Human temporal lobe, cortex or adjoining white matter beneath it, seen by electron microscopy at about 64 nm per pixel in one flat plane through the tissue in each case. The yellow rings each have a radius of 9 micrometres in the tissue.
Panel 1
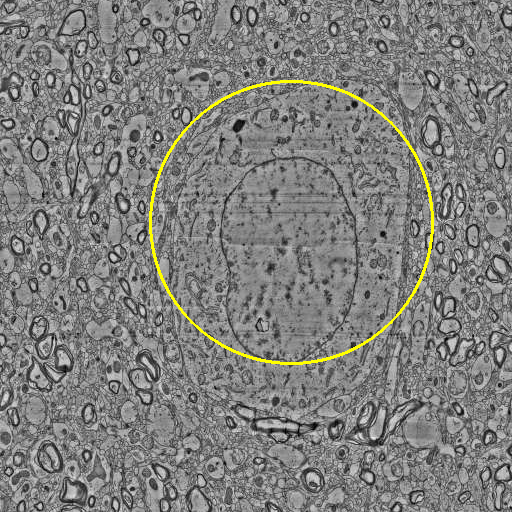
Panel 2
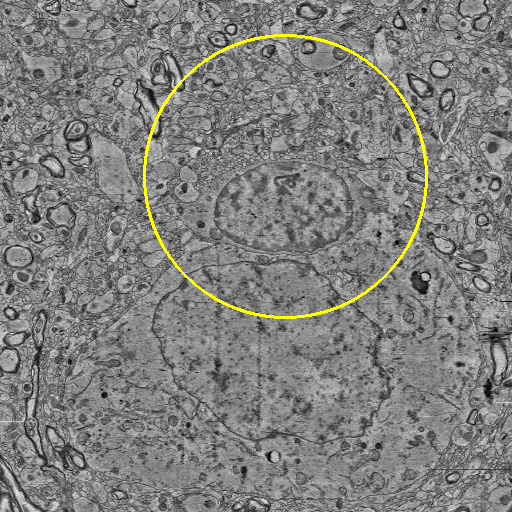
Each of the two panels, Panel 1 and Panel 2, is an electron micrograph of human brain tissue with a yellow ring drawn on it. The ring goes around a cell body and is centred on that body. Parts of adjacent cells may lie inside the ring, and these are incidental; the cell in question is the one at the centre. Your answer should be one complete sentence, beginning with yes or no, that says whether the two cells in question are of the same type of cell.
No, the two cells are of two types.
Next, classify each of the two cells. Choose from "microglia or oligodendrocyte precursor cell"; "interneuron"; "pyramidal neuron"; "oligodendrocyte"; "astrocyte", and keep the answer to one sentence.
In the first picture it is a pyramidal neuron; in the second it is an oligodendrocyte.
